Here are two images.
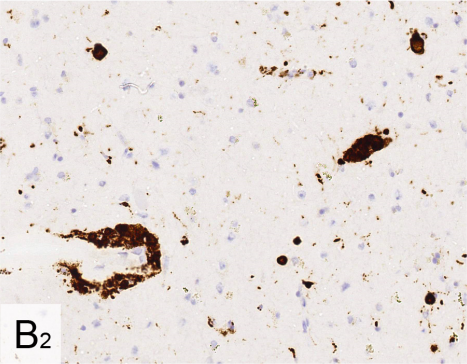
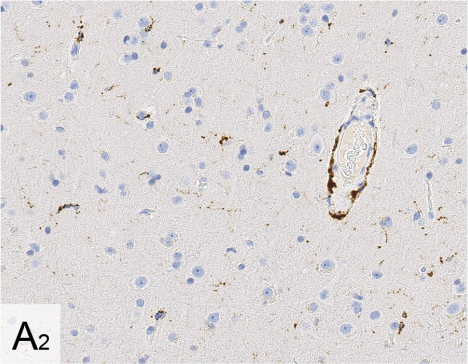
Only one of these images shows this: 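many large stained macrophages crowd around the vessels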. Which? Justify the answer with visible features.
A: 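The first image. First image: a vessel is cuffed by masses of large dark brown cells, with more plump brown cells in the tissue. Second image: only a thin brown rim lines the vessel and the tissue holds small, thin brown cell processes.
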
